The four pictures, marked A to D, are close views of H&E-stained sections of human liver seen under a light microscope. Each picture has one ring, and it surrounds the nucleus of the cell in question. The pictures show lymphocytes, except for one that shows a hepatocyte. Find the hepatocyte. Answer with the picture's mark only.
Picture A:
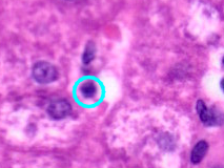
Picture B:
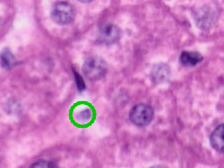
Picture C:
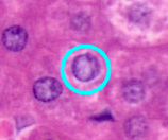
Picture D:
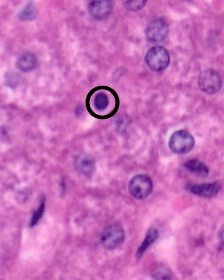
C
